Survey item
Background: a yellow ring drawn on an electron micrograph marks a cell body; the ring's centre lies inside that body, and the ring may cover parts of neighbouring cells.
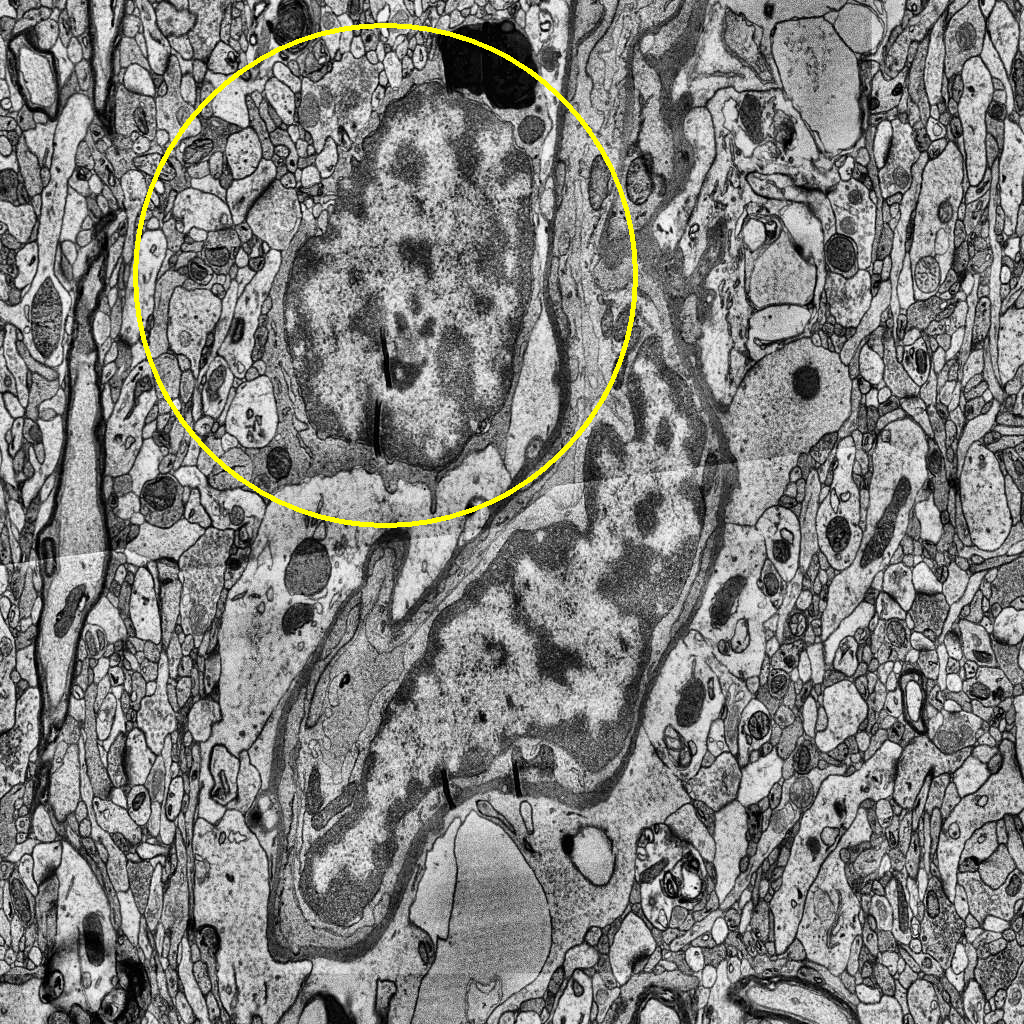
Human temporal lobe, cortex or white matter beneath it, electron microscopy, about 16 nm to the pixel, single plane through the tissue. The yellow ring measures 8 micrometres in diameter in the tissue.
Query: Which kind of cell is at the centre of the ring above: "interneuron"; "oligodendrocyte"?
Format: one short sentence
The cell in the middle of the ring is an oligodendrocyte.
